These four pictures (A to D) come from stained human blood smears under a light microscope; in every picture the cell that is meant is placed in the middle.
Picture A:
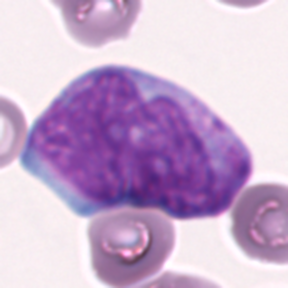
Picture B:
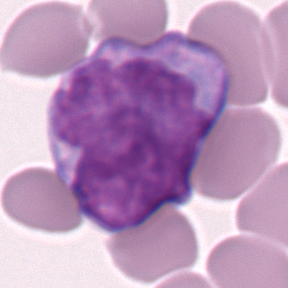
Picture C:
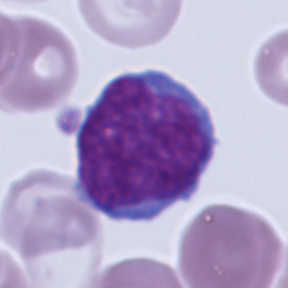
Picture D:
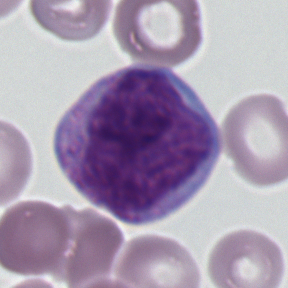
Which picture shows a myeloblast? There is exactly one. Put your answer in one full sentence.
It is picture C that shows the myeloblast.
